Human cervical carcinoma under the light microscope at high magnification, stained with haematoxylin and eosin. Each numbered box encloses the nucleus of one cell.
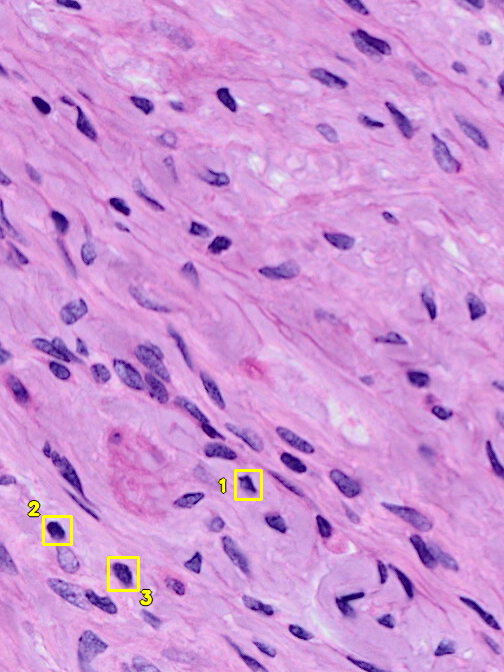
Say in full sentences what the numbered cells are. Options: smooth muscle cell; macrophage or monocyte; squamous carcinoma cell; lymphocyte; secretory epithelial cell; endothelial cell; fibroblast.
Cell 1 is a fibroblast. Cells 2 and 3 are lymphocytes.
